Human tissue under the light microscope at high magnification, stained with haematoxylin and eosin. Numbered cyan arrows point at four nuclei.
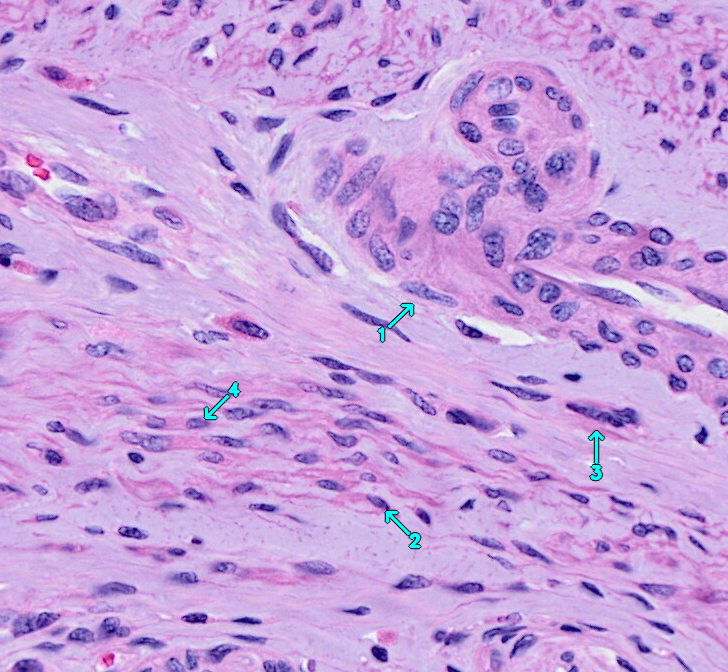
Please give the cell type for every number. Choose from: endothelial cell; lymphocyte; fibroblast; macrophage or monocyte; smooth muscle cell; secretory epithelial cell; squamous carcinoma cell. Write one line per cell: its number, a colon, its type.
1: smooth muscle cell
2: smooth muscle cell
3: endothelial cell
4: smooth muscle cell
